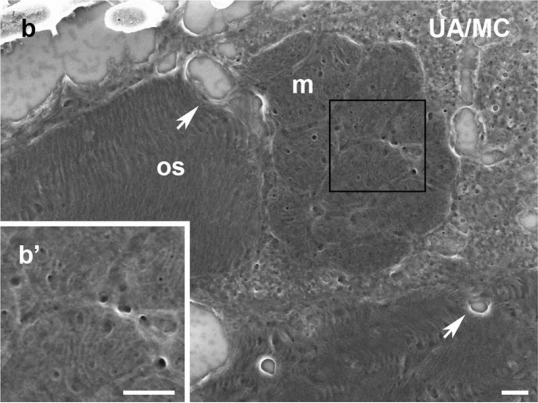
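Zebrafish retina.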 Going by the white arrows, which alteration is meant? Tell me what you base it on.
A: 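Holes. The arrows point to rounded pale gaps with bright rims in the tissue. Many small dark pits are scattered across the section.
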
